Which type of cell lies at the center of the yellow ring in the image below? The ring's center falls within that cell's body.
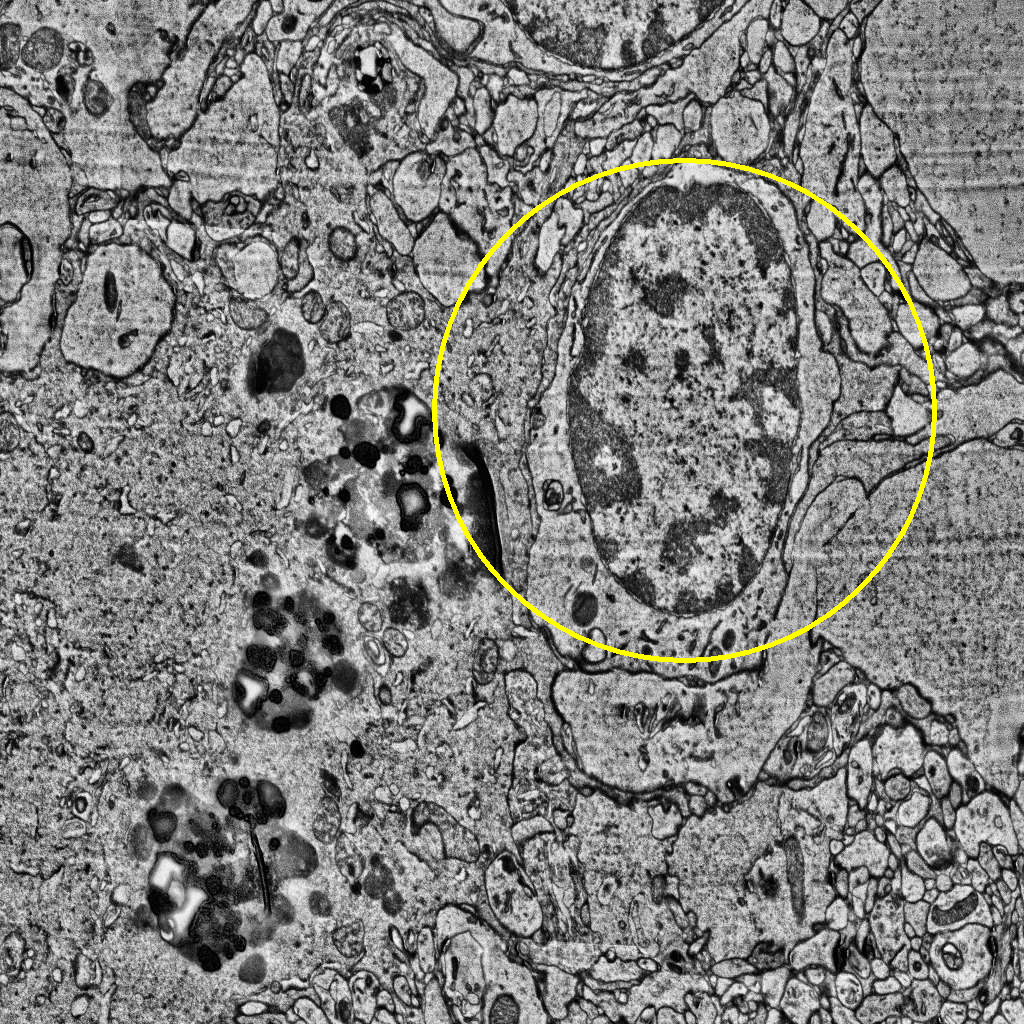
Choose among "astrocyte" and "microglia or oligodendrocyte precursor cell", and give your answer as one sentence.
The cell body at the center belongs to a microglial cell or oligodendrocyte precursor cell.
